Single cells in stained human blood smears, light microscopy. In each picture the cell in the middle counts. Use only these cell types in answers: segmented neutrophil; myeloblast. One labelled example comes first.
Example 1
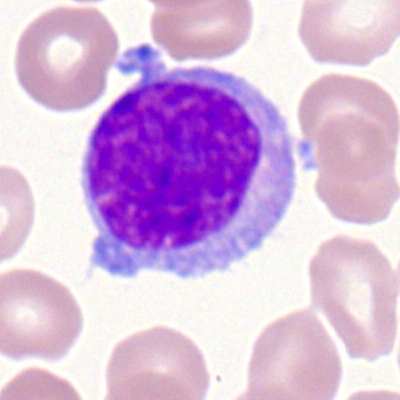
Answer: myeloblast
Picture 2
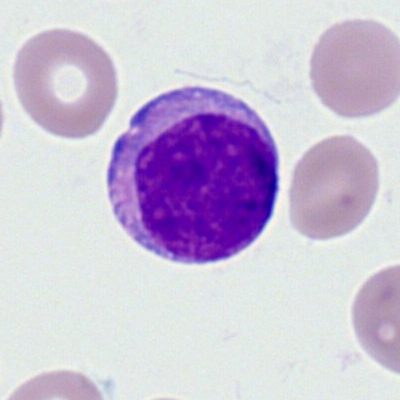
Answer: myeloblast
